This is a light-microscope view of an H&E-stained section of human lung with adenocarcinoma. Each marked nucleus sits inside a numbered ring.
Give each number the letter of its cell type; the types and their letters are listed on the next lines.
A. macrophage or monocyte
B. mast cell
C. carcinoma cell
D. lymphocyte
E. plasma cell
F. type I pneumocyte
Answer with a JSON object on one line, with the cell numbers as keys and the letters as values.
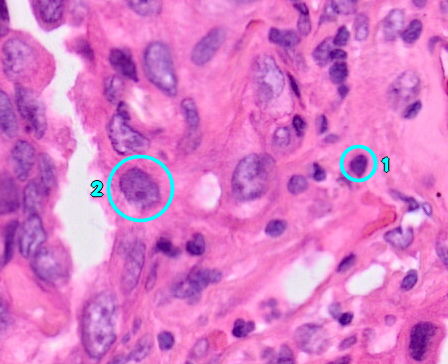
{"1": "D", "2": "C"}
